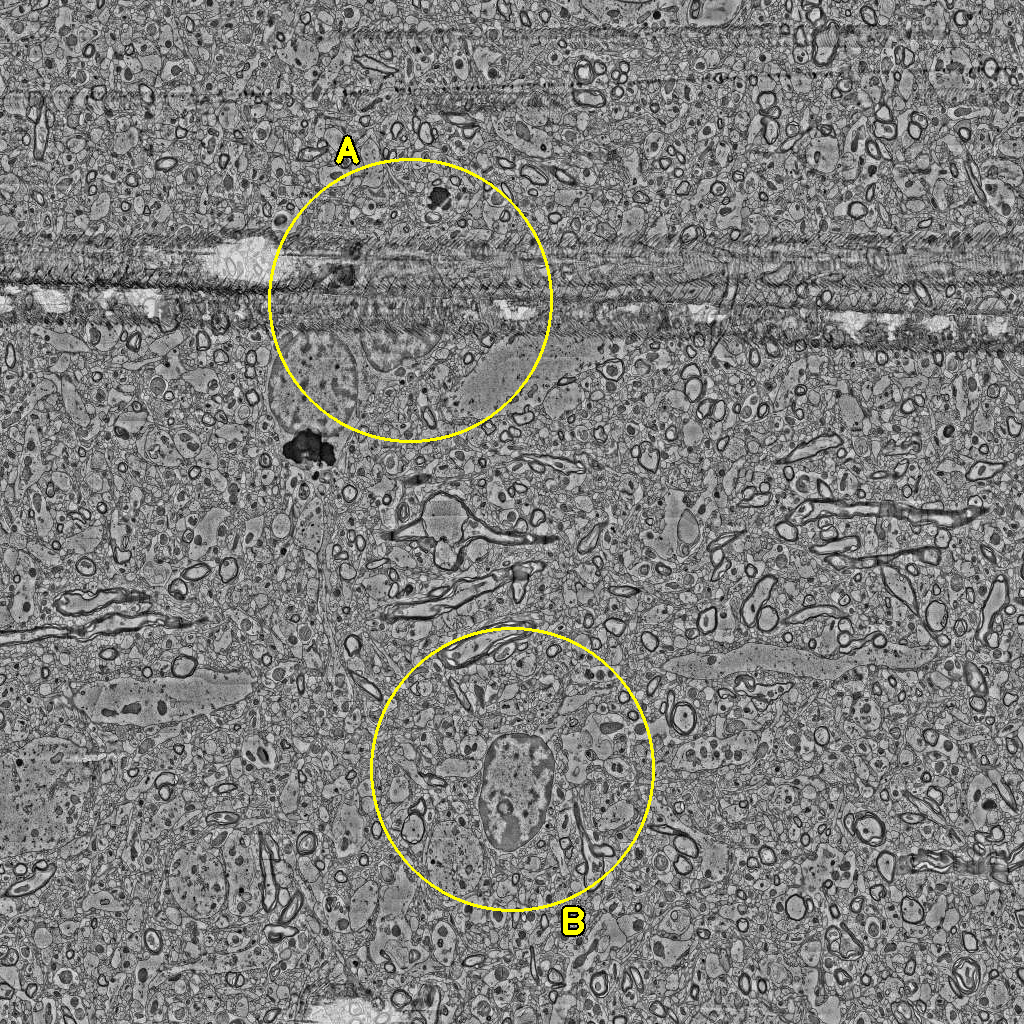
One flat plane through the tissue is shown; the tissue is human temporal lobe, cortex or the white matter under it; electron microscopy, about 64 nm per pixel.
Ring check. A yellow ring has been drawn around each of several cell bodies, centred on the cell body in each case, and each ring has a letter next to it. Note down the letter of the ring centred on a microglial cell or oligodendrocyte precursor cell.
B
